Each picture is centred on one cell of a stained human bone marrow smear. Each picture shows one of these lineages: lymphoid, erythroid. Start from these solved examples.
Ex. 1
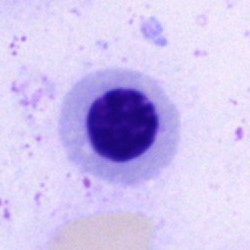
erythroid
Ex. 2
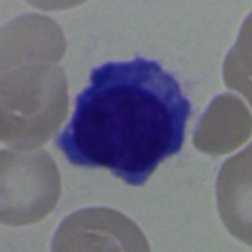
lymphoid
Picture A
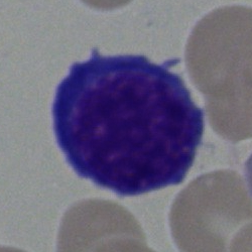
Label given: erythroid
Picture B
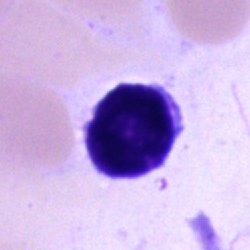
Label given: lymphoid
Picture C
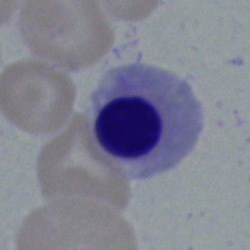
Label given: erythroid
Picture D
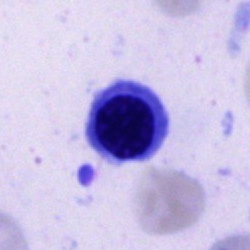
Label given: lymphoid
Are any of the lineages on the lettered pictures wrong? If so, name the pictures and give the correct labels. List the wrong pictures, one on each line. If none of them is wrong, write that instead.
D: not lymphoid but erythroid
